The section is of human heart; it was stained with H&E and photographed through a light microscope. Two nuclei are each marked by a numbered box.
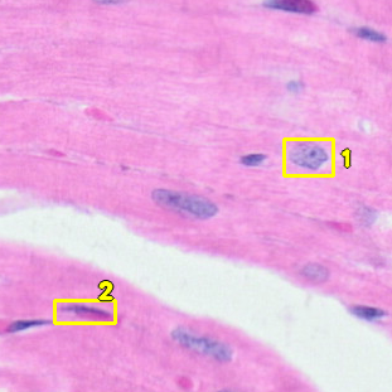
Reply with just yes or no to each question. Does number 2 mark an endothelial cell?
yes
